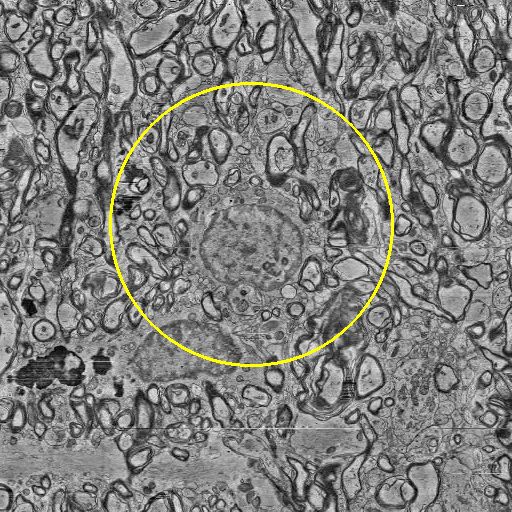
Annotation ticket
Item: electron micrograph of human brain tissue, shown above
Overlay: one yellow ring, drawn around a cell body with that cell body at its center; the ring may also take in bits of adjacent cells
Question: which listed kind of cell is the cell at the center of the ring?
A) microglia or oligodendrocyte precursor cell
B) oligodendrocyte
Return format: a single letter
B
